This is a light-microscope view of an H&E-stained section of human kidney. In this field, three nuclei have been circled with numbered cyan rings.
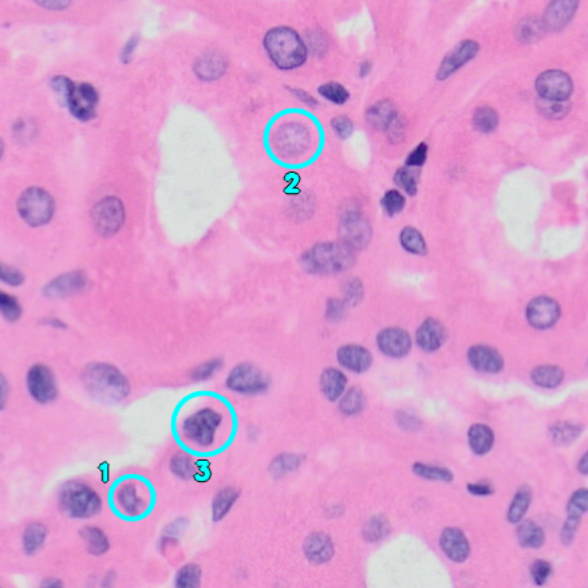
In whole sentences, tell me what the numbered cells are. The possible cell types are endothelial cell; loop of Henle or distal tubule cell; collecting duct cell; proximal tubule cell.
Cells 1 and 3 are loop of Henle or distal tubule cells. Cell 2 is a proximal tubule cell.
